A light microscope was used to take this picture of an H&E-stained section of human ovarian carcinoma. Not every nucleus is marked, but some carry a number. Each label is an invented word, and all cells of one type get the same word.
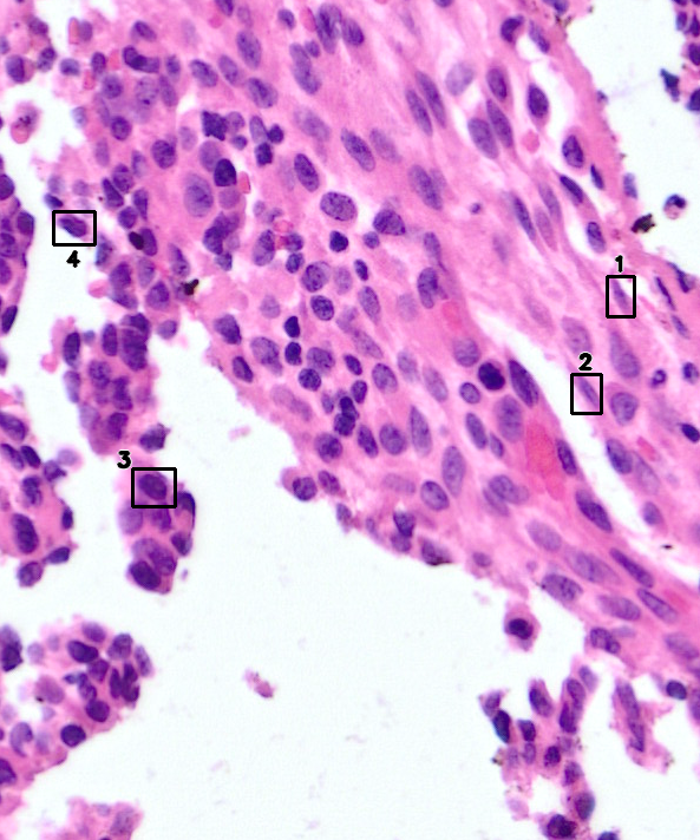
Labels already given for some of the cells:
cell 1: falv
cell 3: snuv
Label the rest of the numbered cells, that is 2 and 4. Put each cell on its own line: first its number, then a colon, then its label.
2: falv
4: snuv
